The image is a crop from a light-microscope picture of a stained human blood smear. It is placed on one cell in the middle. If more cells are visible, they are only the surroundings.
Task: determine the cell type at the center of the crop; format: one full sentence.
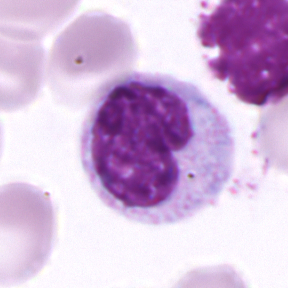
The cell around which this crop is centred is a metamyelocyte.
